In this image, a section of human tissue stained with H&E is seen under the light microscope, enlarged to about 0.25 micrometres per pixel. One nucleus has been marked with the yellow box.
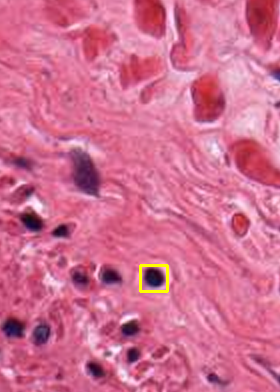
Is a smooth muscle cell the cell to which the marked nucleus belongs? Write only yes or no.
no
